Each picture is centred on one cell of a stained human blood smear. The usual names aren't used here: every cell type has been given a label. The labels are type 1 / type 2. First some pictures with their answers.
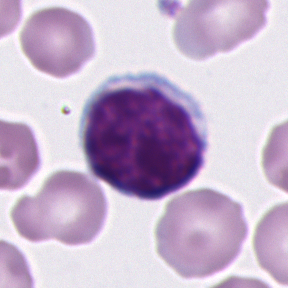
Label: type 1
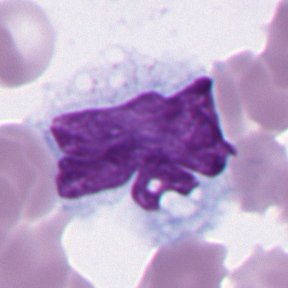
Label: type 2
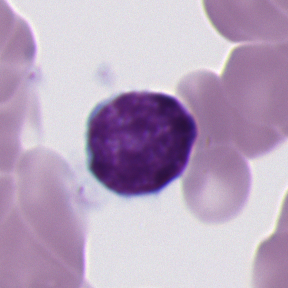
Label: type 1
